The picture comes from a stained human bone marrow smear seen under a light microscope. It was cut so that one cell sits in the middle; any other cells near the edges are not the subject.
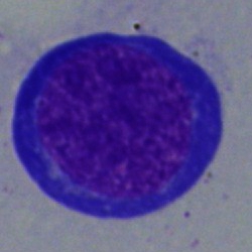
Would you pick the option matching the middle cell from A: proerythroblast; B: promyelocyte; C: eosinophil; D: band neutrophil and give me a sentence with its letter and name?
The expected answer is option A, the central cell being a proerythroblast.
